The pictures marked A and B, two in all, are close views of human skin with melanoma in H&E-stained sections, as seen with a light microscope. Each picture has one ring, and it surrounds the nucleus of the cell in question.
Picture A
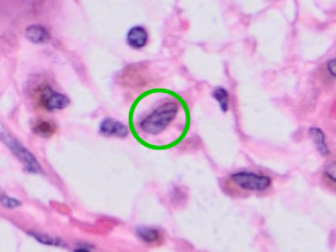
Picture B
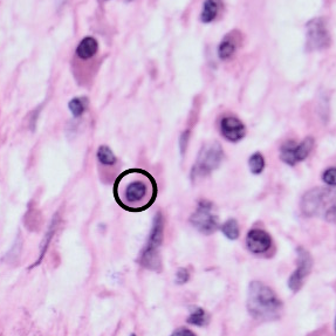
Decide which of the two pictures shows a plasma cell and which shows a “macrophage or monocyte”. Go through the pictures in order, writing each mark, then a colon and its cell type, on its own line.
A: macrophage or monocyte
B: plasma cell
